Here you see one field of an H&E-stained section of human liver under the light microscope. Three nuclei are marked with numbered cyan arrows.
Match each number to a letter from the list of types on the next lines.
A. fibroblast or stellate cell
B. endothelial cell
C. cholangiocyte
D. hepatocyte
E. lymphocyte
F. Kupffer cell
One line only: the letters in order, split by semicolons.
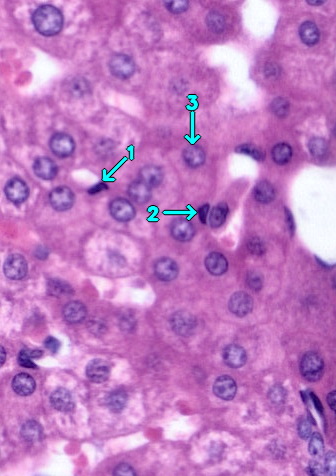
A; A; D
